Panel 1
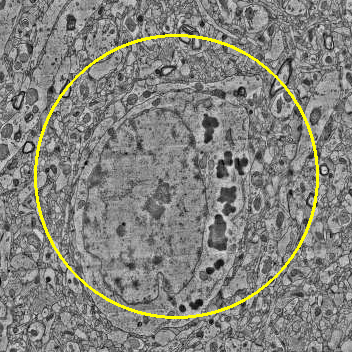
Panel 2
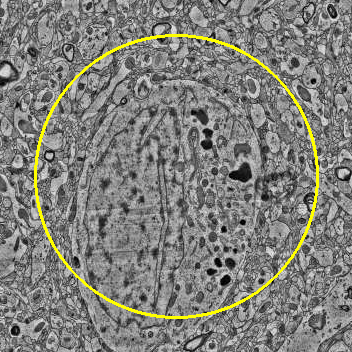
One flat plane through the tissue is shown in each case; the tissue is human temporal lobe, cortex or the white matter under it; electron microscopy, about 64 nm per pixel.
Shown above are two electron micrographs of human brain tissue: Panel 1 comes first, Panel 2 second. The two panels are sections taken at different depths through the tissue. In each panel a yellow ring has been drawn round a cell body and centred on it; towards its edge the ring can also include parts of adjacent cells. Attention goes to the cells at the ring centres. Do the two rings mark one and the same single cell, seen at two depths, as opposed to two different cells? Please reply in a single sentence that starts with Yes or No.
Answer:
Yes, one cell is ringed in yellow twice over.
